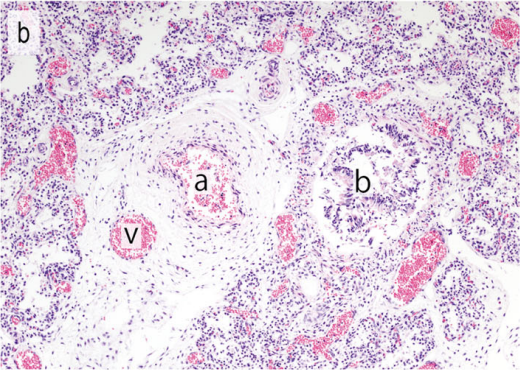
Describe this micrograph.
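Lung tissue in which a bronchovascular bundle sits in pale fibrous connective tissue. A bronchiole lined by folded epithelium lies beside a pulmonary artery with a muscular wall containing red blood cells, and a smaller pulmonary vein with red cells lies in the same sheath of connective tissue, an unusual position for a vein. Around the bundle the alveolar parenchyma is crowded: septa are cellular and many small capillaries are packed with red blood cells, giving a congested appearance, while the alveolar spaces are narrow.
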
